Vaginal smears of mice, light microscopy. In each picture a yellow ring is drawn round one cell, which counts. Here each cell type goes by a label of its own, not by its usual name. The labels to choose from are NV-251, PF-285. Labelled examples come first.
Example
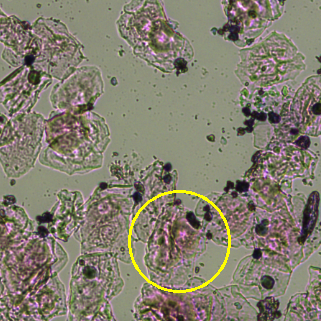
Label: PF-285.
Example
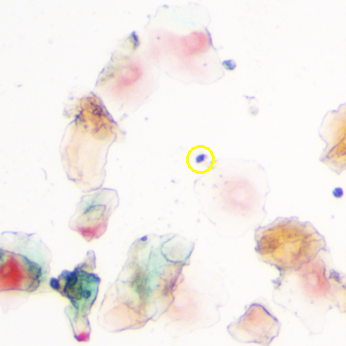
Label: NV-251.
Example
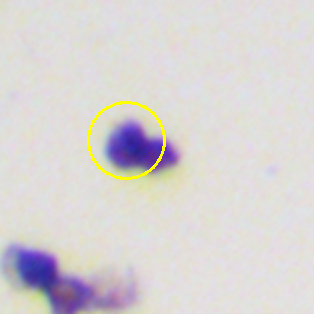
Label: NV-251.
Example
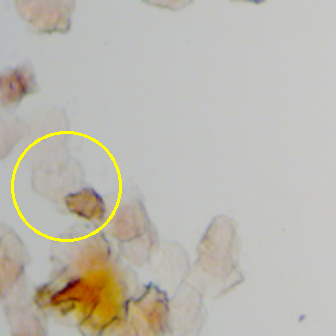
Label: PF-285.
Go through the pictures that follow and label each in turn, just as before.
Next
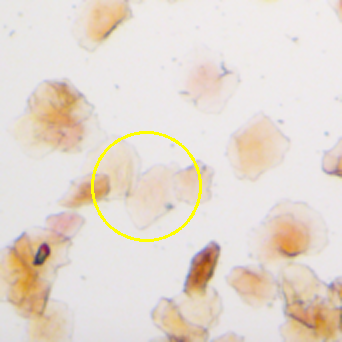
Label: PF-285.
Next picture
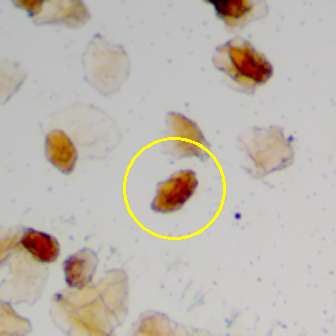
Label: PF-285.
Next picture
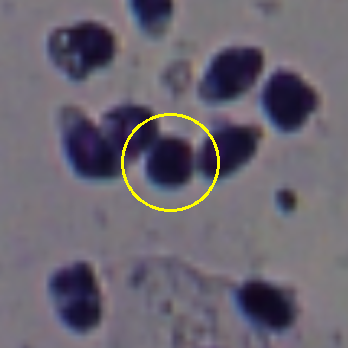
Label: NV-251.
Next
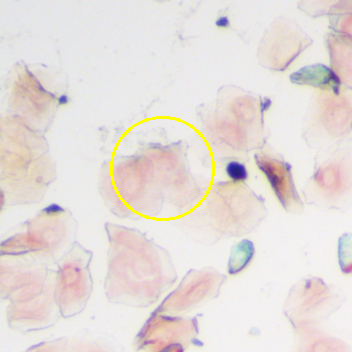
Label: PF-285.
